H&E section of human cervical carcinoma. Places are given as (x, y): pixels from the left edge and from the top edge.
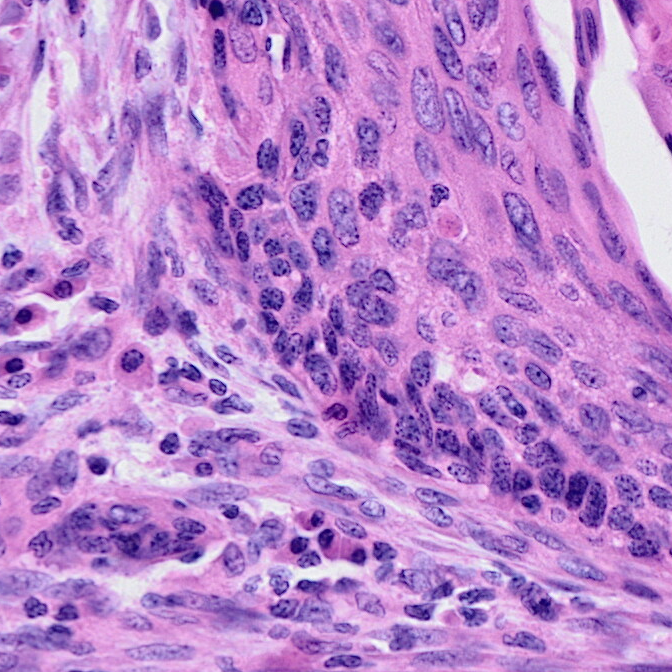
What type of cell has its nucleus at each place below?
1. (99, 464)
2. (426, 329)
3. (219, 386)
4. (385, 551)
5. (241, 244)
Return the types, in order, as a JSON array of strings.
["lymphocyte", "squamous carcinoma cell", "lymphocyte", "lymphocyte", "squamous carcinoma cell"]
